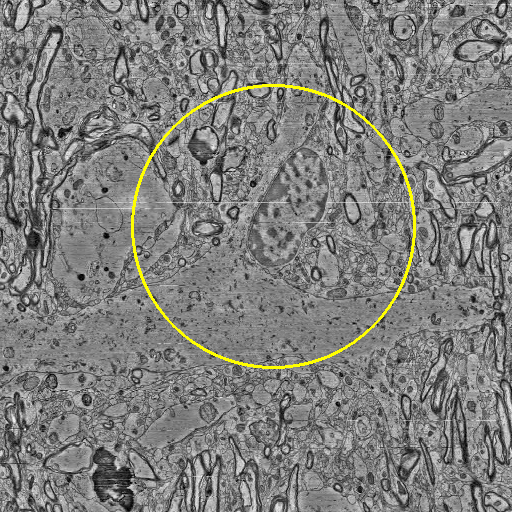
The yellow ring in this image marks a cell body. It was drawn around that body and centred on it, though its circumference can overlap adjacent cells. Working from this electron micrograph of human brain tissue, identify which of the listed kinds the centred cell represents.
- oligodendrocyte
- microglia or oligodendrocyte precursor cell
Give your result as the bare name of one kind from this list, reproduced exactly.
microglia or oligodendrocyte precursor cell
